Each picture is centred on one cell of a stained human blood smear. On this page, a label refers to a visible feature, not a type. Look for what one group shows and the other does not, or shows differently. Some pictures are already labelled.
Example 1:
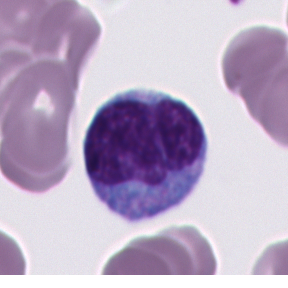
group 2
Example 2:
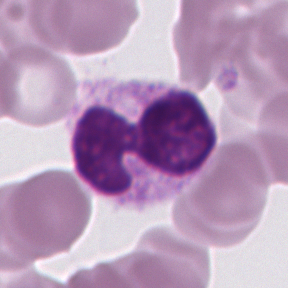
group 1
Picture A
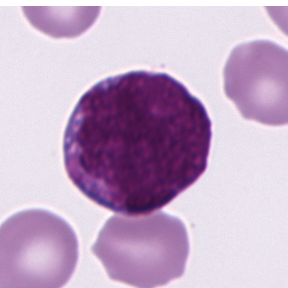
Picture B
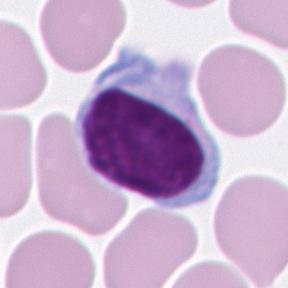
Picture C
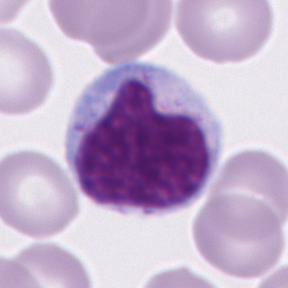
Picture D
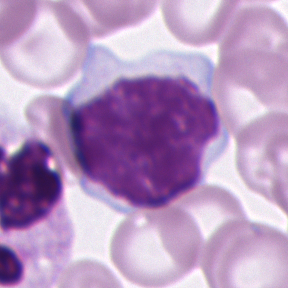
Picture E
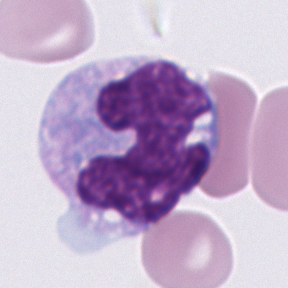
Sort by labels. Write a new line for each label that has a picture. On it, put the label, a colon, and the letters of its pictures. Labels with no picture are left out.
group 2: A, C
group 1: B, D, E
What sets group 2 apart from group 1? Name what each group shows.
group 2: smooth outline; group 1: ragged outline or projections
